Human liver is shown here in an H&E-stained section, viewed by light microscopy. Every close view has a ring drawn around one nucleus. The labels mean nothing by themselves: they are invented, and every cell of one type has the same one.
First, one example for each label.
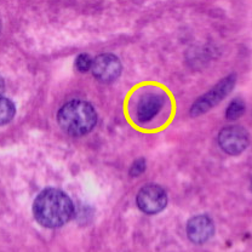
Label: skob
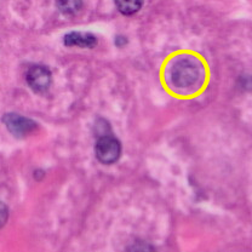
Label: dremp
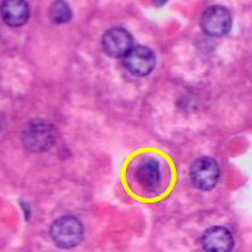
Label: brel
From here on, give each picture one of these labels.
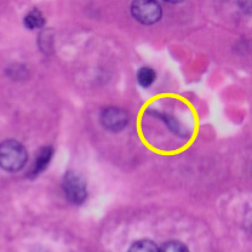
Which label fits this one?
skob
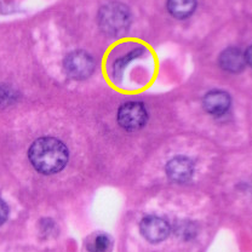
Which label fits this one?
brel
